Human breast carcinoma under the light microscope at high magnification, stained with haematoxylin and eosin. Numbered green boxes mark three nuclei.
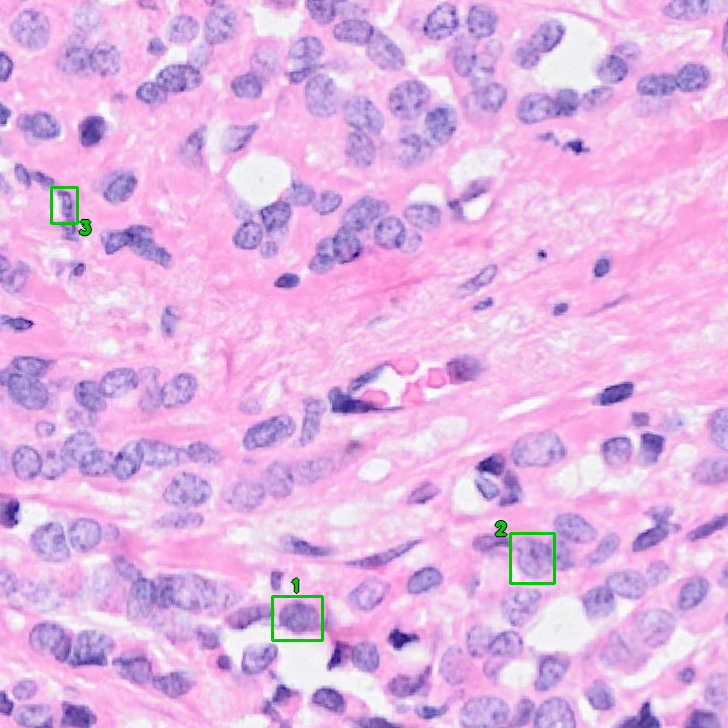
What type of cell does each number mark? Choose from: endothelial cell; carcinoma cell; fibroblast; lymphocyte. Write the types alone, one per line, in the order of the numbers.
carcinoma cell
carcinoma cell
endothelial cell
